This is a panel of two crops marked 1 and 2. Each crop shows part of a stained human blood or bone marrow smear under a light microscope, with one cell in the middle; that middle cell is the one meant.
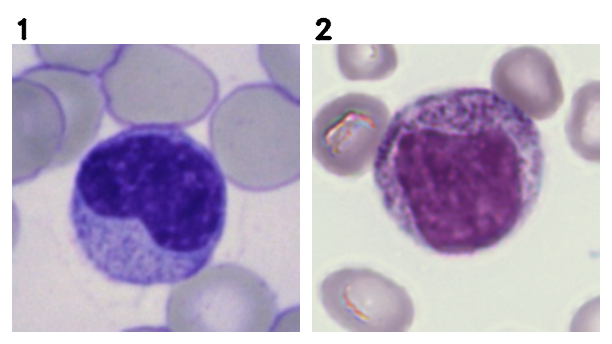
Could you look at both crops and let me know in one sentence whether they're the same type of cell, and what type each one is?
No, the correct reading is a metamyelocyte in crop 1 and a myelocyte in crop 2.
